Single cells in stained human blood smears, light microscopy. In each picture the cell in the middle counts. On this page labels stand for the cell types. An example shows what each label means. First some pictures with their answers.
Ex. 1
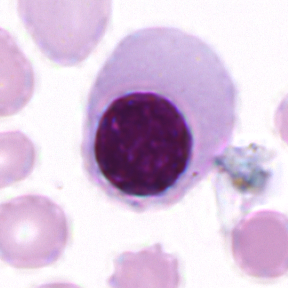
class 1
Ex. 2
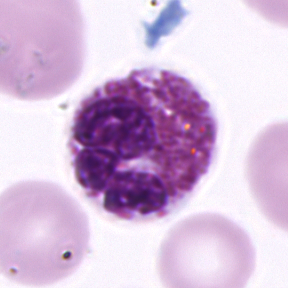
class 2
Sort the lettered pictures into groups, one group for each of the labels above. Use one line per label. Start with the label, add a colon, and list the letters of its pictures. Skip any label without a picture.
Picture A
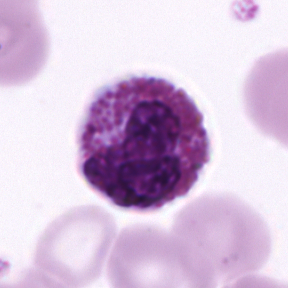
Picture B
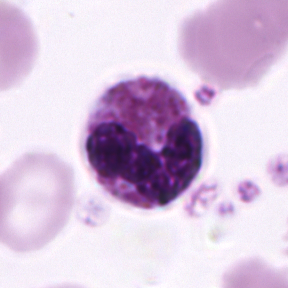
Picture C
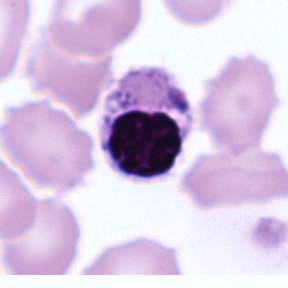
class 1: C
class 2: A, B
